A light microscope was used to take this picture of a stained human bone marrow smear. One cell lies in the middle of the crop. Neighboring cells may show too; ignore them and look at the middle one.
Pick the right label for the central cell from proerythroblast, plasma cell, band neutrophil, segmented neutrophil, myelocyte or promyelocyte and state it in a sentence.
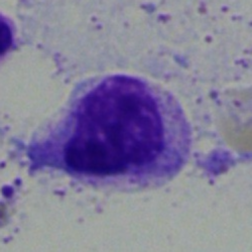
At the center of the crop sits a myelocyte.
